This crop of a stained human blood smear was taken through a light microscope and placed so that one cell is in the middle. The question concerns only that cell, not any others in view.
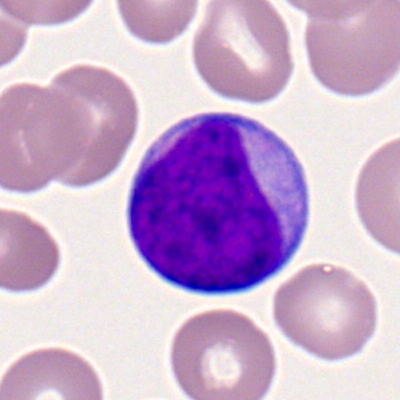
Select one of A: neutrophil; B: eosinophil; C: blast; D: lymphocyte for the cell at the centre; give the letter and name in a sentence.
That the central cell is a blast makes option C correct.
